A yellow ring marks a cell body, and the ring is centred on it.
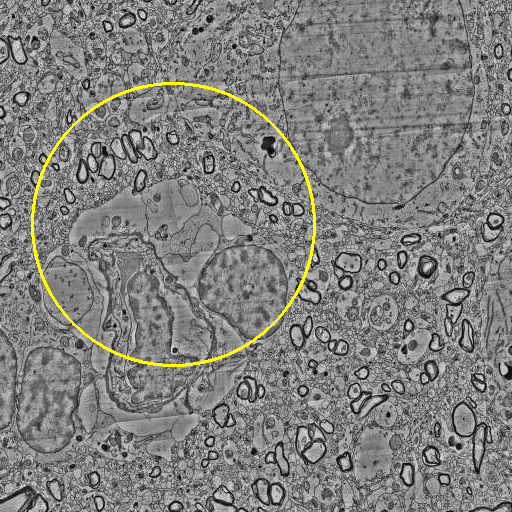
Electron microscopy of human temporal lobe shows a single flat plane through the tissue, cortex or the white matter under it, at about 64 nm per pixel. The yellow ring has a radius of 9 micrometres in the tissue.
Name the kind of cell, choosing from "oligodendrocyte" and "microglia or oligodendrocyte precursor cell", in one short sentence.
The marked cell body belongs to a microglial cell or oligodendrocyte precursor cell.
